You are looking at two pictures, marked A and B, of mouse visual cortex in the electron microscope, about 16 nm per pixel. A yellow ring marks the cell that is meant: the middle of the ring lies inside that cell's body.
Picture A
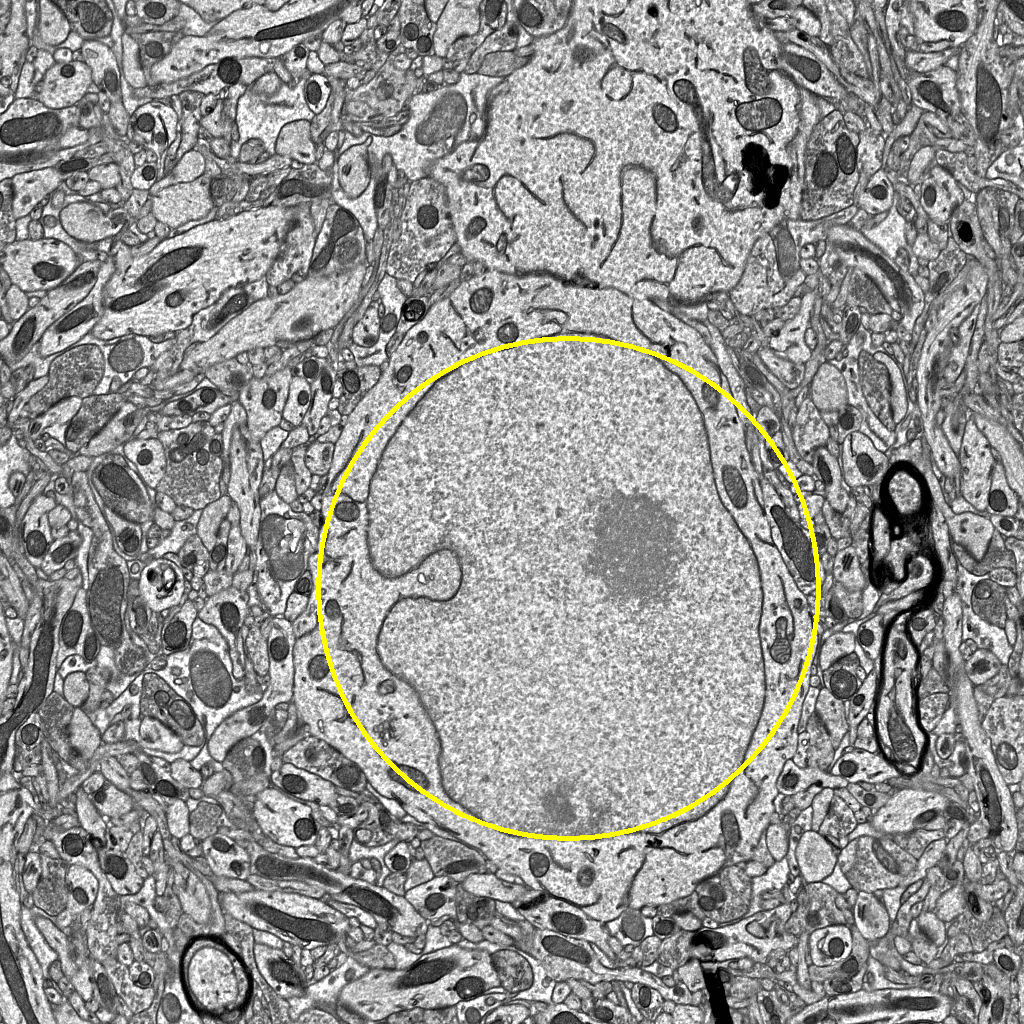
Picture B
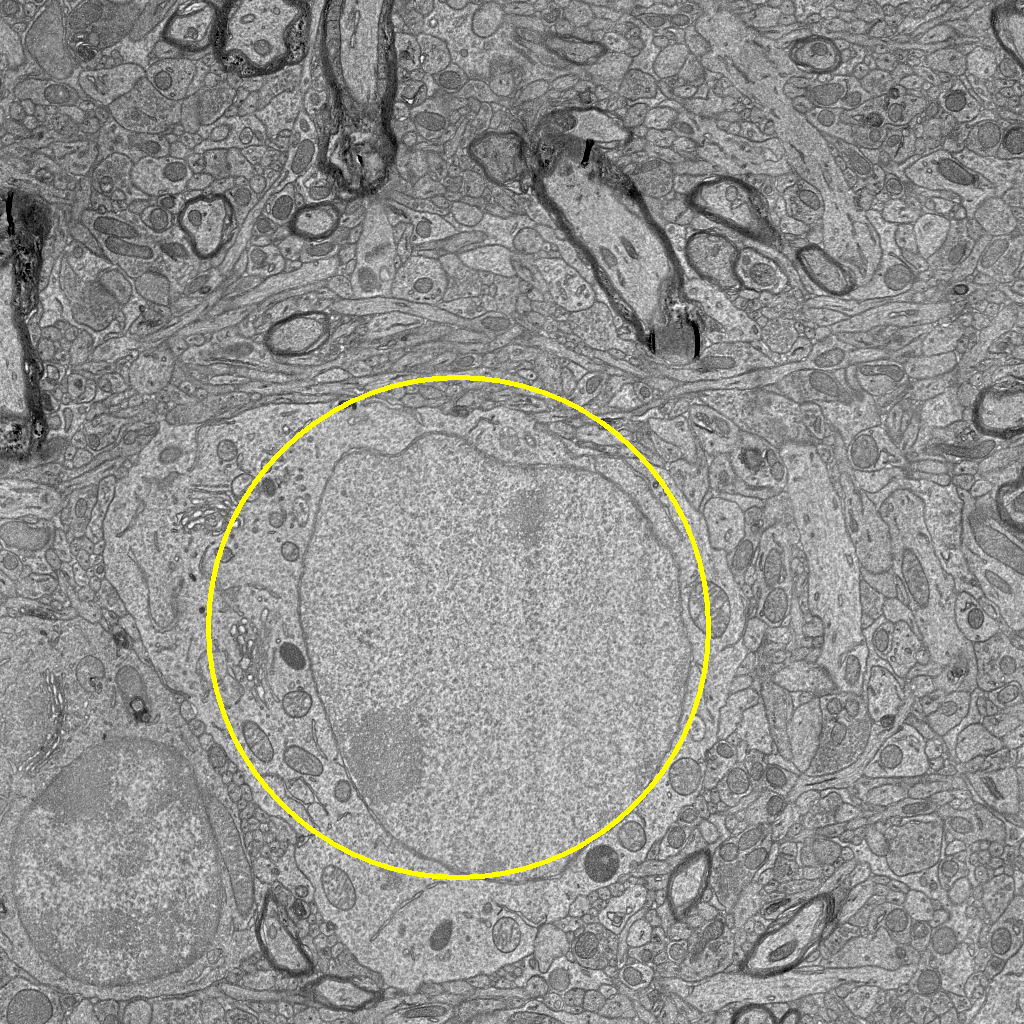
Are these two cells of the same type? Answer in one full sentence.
Yes, the two pictures both show excitatory neurons.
